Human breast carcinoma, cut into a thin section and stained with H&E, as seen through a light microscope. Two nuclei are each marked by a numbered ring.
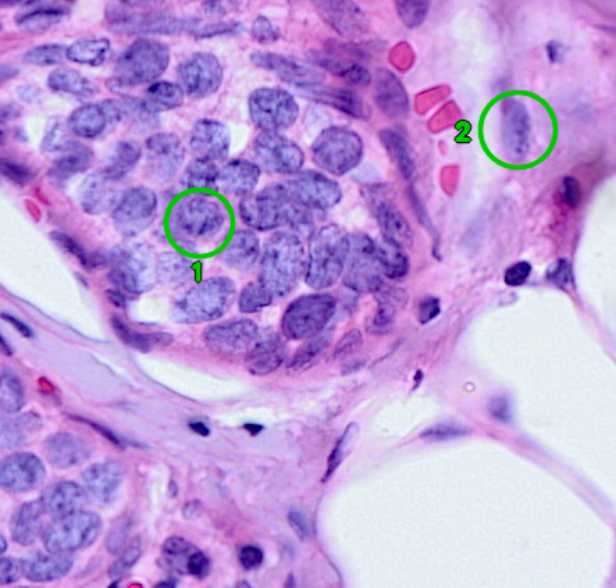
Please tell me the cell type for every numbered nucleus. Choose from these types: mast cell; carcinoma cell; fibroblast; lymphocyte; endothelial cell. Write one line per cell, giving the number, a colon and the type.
1: carcinoma cell
2: fibroblast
